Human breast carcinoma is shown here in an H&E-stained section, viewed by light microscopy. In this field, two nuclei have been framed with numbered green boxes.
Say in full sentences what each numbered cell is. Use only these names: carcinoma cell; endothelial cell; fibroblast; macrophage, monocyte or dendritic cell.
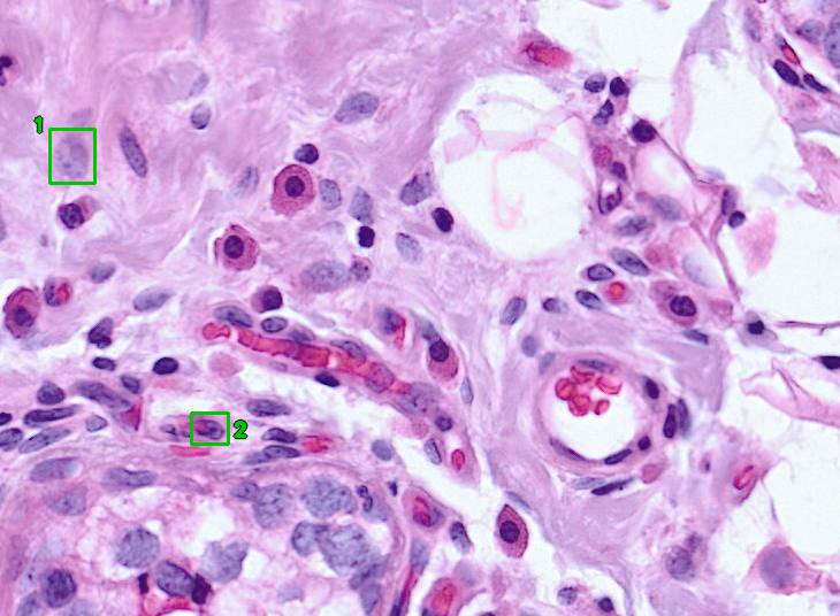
Cell 1 is a fibroblast. Cell 2 is an endothelial cell.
